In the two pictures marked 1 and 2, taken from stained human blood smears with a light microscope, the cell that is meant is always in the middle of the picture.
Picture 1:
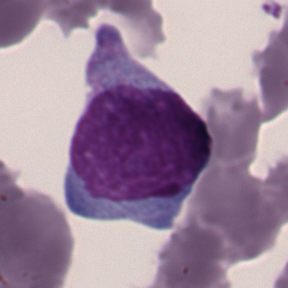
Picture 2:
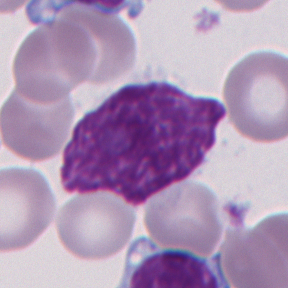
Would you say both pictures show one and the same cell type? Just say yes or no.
no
